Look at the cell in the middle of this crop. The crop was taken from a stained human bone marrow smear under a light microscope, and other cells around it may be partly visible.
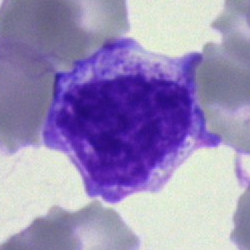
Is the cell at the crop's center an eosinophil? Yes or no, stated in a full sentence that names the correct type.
No, in this crop the central cell is a myelocyte instead of an eosinophil.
